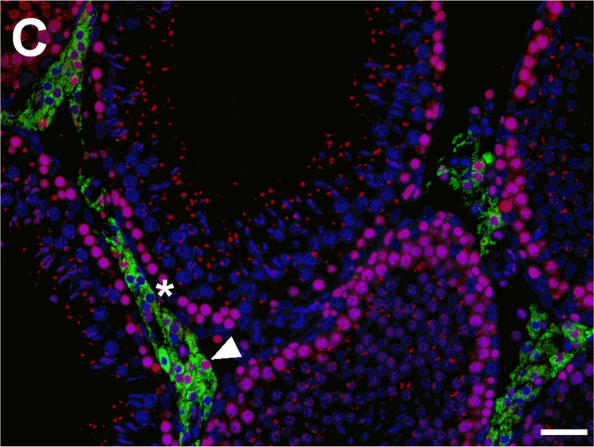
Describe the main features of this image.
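This section of testis shows Leydig cells filling narrow interstitial strips between seminiferous tubules. The Leydig cells have green cytoplasm and round nuclei, several of which appear red-magenta while others stay blue. The green cells lie in elongated bands and small clusters along the sides of the tubules. Each tubule is edged by a row of bright red-magenta nuclei at its periphery, with blue nuclei further inside toward the lumen.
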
